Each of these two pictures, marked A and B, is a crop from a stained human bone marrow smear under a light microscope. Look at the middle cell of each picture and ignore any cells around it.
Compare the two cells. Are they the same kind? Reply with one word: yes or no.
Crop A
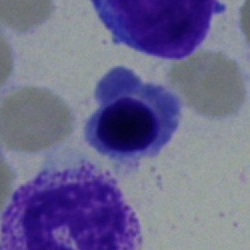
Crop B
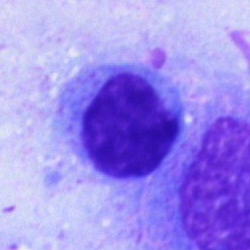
no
